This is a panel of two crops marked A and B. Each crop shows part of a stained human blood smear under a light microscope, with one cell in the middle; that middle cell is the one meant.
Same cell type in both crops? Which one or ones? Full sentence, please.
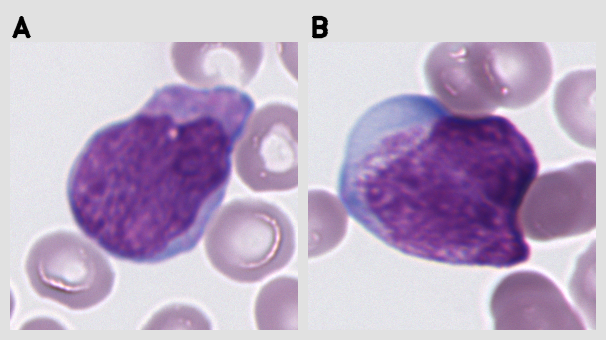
Yes, atypical promyelocytes are seen in both crops.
